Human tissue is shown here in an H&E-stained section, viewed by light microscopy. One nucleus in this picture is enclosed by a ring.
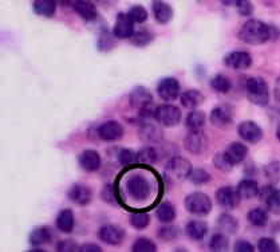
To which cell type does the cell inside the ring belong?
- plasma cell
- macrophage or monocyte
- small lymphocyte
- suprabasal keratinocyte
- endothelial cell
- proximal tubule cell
small lymphocyte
